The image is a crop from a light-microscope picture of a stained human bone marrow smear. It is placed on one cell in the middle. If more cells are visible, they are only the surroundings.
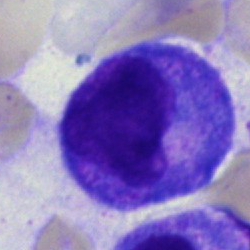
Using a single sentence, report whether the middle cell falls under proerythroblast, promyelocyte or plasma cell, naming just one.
The cell marked by its central position in the crop is a promyelocyte.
